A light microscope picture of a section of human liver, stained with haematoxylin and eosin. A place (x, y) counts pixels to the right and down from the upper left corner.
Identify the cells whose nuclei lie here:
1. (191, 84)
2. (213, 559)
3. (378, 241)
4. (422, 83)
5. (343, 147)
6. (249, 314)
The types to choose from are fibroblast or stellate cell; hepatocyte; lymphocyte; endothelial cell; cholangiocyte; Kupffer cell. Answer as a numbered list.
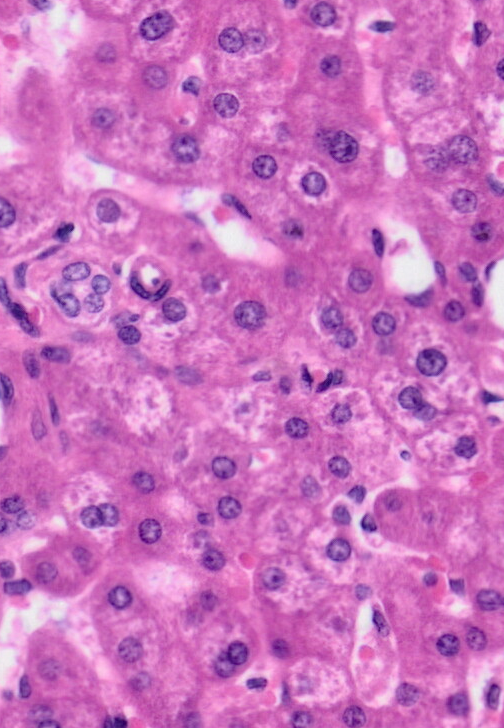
1. endothelial cell
2. hepatocyte
3. fibroblast or stellate cell
4. hepatocyte
5. hepatocyte
6. hepatocyte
